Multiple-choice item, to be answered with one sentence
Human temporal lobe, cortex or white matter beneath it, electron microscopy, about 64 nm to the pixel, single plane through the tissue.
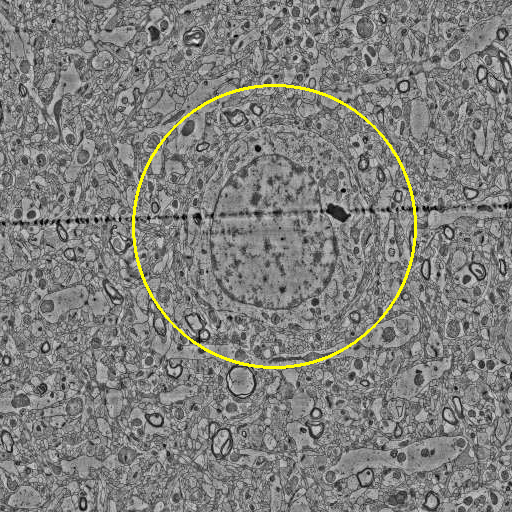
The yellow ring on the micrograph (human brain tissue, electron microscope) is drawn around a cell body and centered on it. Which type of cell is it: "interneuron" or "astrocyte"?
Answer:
The ring is centered on an interneuron.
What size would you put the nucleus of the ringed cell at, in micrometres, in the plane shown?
The ringed cell's nucleus measures approximately 10 by 8 micrometres in this plane.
